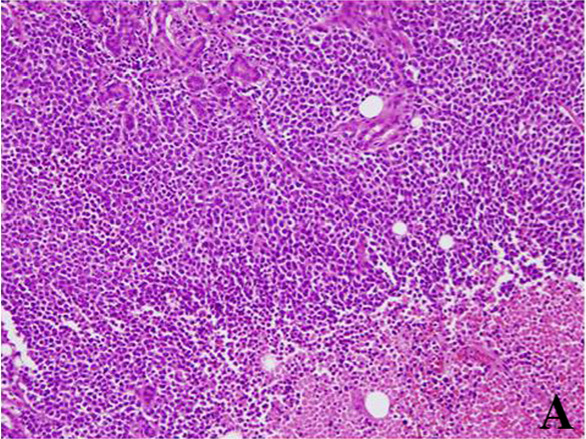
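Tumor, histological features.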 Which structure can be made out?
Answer: Residual ducts and glands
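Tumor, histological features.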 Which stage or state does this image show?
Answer: Diffuse growth.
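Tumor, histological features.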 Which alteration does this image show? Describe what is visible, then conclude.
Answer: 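The lower right corner is a pale pink to red area without the dense blue nuclei of the rest of the panel. The dense cellular sheet breaks up at the border of this area.
Necrosis.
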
